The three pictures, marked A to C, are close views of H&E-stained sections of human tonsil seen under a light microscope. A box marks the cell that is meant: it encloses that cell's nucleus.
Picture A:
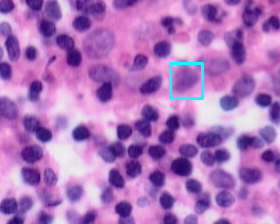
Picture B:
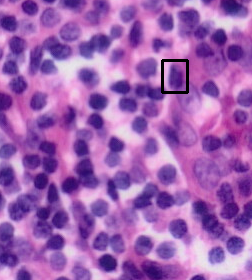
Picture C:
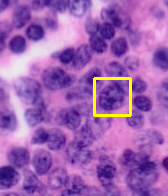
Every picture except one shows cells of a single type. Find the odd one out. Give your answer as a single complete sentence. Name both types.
Picture C differs, because its cell is a proliferating B cell and the rest are endothelial cells.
